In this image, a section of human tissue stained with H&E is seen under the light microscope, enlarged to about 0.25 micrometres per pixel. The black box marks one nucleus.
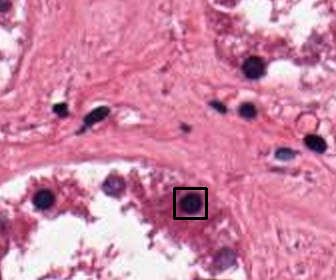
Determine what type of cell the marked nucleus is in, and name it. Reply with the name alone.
proximal tubule cell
